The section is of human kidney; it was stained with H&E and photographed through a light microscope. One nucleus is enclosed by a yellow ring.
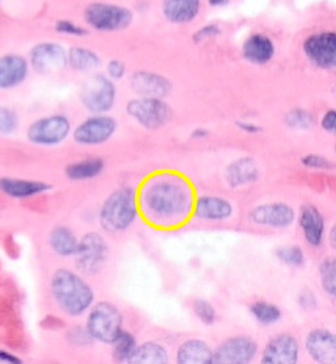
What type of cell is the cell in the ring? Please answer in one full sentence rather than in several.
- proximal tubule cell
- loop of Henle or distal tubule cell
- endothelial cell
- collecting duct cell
In this preparation, the cell in the ring is a collecting duct cell.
